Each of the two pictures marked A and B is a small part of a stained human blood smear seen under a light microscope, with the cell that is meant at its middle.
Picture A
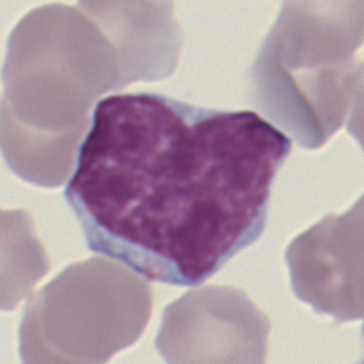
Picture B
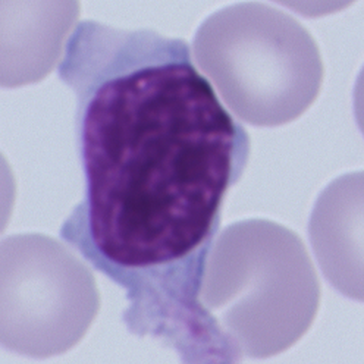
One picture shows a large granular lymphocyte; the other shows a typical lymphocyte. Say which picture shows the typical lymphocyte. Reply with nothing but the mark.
A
